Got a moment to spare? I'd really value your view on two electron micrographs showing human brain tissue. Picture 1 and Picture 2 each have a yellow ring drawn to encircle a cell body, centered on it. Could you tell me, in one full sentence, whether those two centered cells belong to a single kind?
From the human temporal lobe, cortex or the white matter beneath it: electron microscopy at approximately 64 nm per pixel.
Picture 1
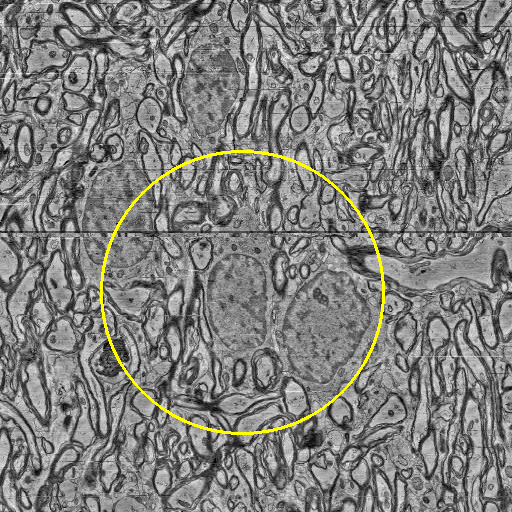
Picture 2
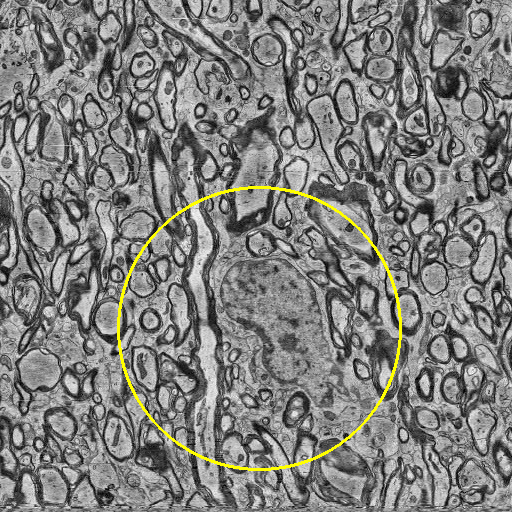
No, the two centered cells in Picture 1 and Picture 2 are of two kinds.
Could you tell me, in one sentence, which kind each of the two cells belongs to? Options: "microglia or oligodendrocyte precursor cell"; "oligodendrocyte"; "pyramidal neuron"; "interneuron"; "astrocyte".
At the centre of the first ring sits an oligodendrocyte, and at the centre of the second sits a microglial cell or oligodendrocyte precursor cell.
